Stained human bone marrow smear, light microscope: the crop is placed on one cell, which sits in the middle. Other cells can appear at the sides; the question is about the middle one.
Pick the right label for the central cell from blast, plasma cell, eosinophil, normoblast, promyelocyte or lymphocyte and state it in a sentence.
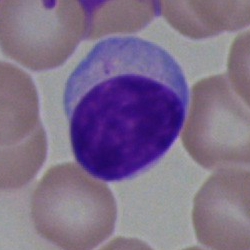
Centred in the crop is a lymphocyte.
